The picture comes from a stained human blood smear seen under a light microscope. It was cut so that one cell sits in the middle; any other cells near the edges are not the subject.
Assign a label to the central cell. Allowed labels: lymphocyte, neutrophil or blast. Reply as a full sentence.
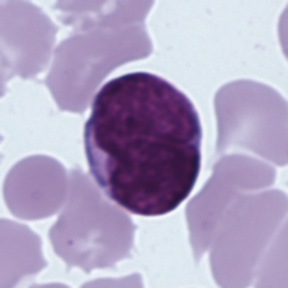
Centred in the crop is a blast.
